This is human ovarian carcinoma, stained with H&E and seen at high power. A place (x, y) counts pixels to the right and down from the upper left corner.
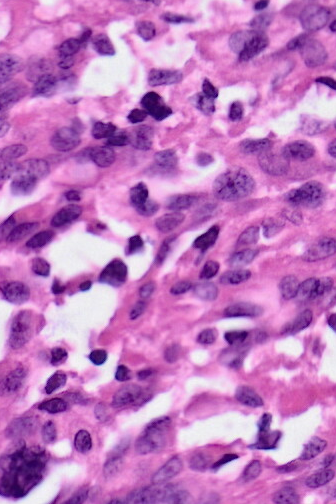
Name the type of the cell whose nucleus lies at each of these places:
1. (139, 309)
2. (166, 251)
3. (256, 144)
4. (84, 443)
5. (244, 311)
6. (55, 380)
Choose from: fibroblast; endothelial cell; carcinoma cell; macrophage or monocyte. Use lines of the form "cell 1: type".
cell 1: endothelial cell
cell 2: carcinoma cell
cell 3: carcinoma cell
cell 4: macrophage or monocyte
cell 5: carcinoma cell
cell 6: carcinoma cell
